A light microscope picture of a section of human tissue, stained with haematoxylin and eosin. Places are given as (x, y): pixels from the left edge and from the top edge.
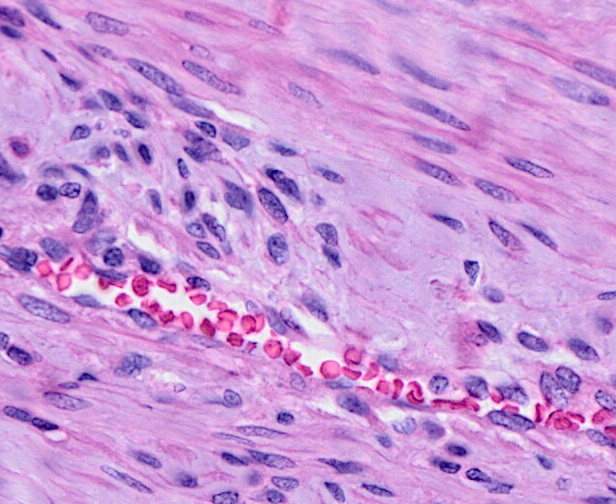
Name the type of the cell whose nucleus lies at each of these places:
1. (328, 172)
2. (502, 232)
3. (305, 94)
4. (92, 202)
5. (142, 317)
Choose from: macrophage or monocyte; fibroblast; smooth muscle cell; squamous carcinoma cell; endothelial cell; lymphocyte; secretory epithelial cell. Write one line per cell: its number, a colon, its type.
1: fibroblast
2: smooth muscle cell
3: smooth muscle cell
4: lymphocyte
5: endothelial cell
